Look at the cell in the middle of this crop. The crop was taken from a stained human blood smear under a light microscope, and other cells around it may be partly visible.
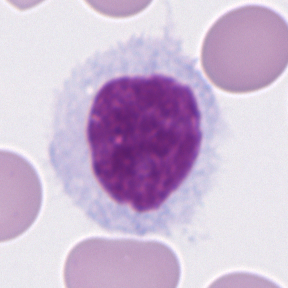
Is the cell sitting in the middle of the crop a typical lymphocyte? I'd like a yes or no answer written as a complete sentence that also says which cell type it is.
No, the identification should read a hairy cell, not a typical lymphocyte, for the central cell.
